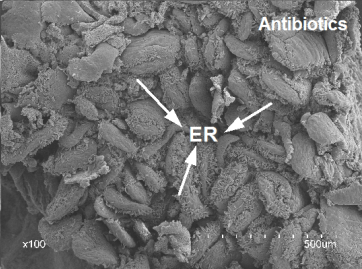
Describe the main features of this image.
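This scanning electron micrograph shows the mucosal surface of the small intestine where the villi are damaged. The villi are short, irregular and unevenly spaced, with many appearing broken or flattened. Much of the surface between them is covered with rough, granular debris, giving an eroded look.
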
